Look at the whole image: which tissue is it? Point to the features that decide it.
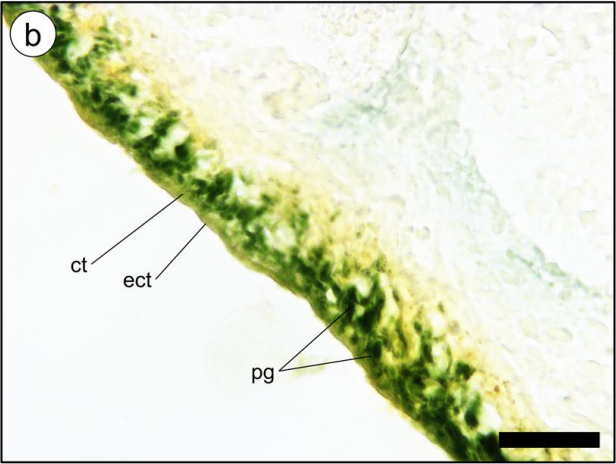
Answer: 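Epidermis. A thin continuous cell layer runs diagonally along the edge of the section. Dark green granules are concentrated within this layer.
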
